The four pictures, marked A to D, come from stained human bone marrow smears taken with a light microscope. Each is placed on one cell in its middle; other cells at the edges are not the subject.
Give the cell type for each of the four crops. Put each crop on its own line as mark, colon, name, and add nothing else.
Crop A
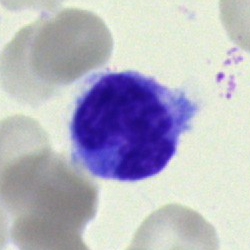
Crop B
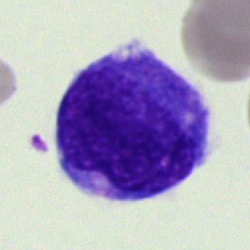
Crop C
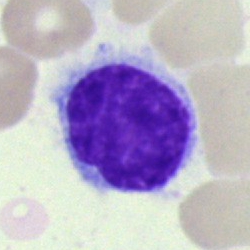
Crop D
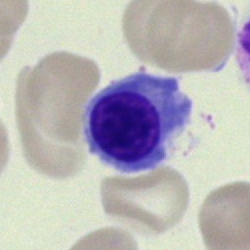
A: monocyte
B: monocyte
C: hairy cell
D: normoblast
